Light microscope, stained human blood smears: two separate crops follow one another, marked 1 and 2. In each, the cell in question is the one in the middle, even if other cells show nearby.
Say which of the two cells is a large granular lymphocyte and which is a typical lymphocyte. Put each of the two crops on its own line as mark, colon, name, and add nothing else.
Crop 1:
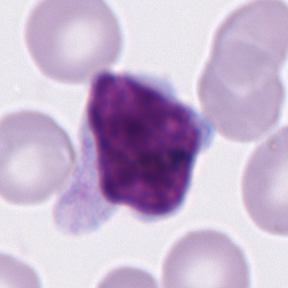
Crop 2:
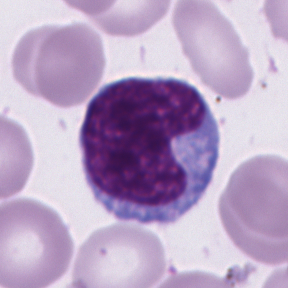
1: large granular lymphocyte
2: typical lymphocyte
